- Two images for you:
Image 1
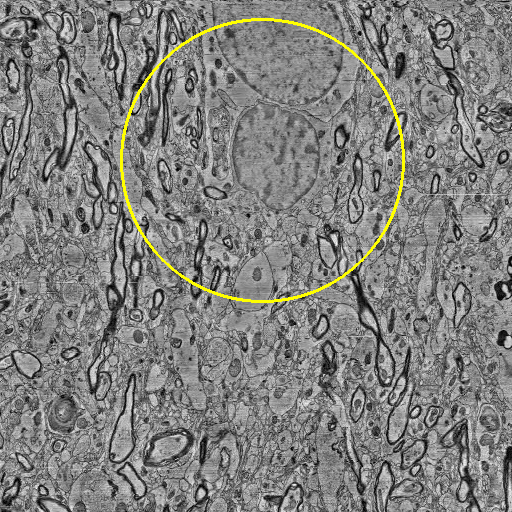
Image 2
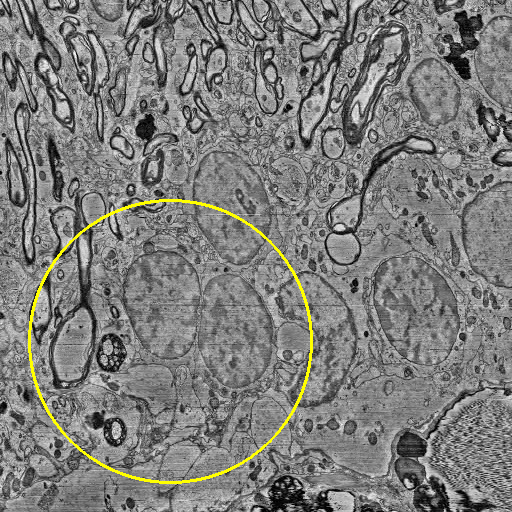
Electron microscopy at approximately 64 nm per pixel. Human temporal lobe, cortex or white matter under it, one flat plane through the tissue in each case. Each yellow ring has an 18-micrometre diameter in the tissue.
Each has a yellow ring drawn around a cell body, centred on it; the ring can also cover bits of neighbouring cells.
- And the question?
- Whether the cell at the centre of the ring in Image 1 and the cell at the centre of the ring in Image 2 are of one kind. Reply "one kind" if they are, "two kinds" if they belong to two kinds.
one kind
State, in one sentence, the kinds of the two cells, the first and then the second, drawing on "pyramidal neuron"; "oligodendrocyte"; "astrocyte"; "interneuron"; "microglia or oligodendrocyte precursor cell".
Each cell, in the first picture and the second, is an oligodendrocyte.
